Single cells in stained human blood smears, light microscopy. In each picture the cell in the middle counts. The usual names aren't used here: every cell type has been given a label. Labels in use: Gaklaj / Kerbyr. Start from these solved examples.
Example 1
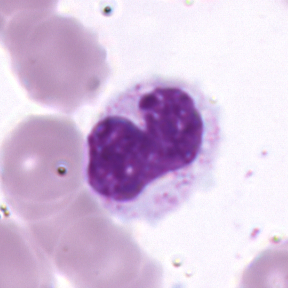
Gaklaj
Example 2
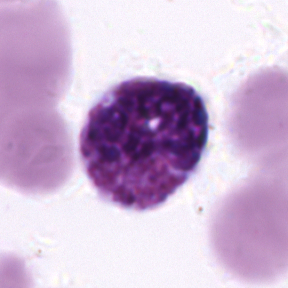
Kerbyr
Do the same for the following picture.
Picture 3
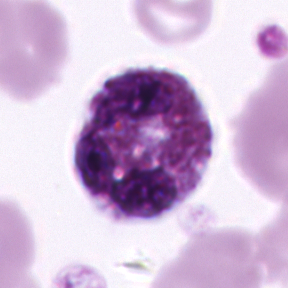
Kerbyr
